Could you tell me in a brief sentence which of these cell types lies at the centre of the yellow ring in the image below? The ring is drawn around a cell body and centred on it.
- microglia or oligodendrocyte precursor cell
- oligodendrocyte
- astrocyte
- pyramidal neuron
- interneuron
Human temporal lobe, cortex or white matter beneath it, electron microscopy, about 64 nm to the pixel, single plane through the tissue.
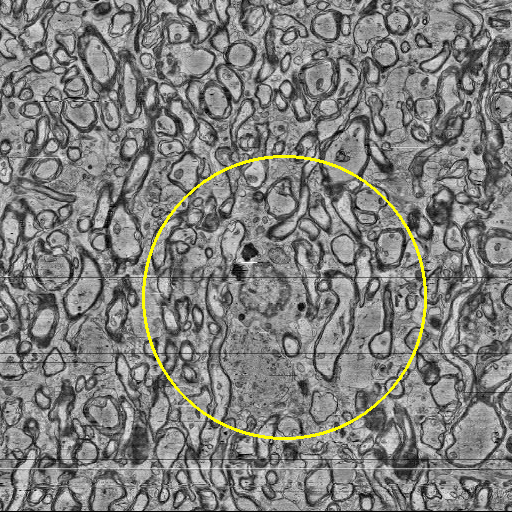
The cell centred in the ring is an oligodendrocyte.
